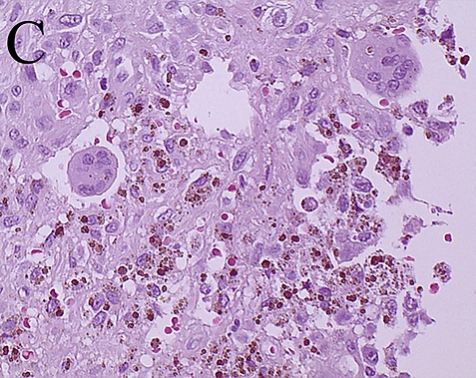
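Tumor tissue with many cells laden with coarse brown granular pigment, most dense in the lower half of the field. Large cells with several clustered nuclei are present, one lying free within a clear space and another at upper right. Between them lie ovoid cells with pale nuclei and pink cytoplasm in a loose pale stroma. Scattered red blood cells lie around small clear spaces. The tissue is loosely cohesive with irregular gaps.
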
